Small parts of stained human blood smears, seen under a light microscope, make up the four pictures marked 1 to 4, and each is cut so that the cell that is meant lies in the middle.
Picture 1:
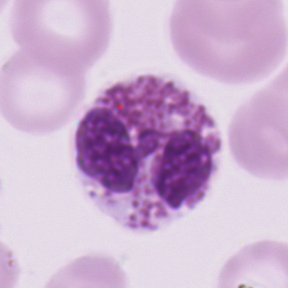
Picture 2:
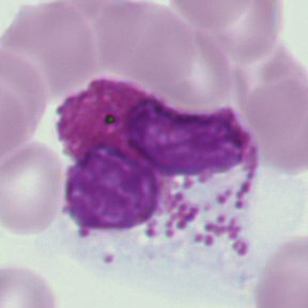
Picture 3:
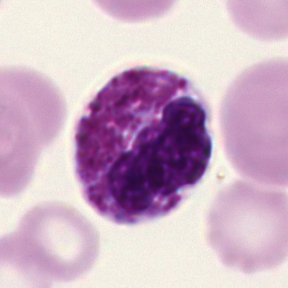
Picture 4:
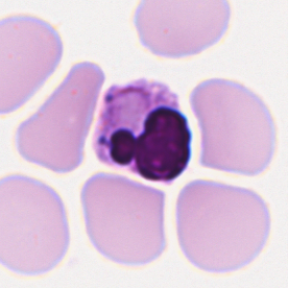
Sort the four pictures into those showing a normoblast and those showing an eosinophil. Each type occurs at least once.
1: eosinophil
2: eosinophil
3: eosinophil
4: normoblast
